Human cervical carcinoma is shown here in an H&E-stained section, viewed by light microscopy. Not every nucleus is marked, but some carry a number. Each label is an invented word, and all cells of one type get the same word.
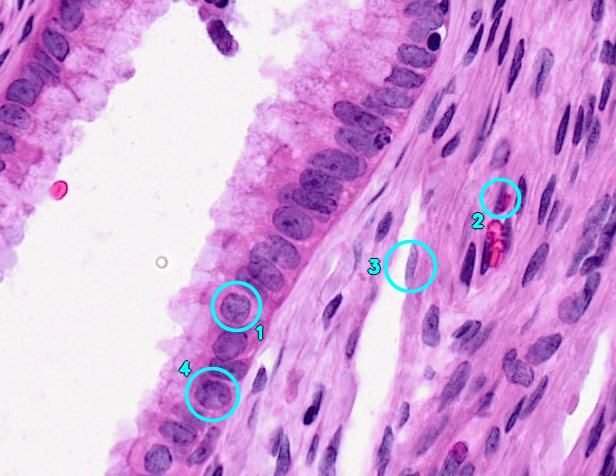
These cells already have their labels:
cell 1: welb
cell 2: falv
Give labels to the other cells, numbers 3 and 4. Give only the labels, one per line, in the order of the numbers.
falv
welb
